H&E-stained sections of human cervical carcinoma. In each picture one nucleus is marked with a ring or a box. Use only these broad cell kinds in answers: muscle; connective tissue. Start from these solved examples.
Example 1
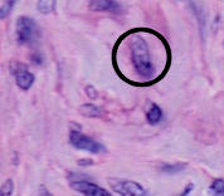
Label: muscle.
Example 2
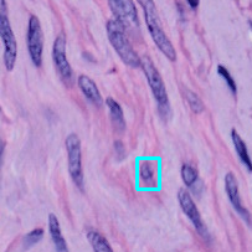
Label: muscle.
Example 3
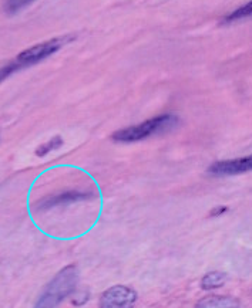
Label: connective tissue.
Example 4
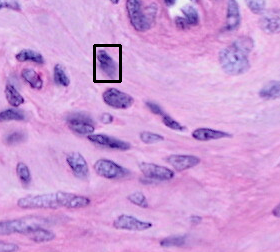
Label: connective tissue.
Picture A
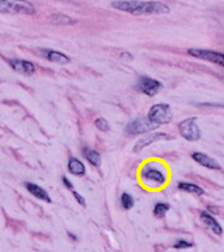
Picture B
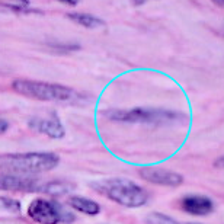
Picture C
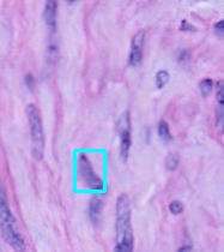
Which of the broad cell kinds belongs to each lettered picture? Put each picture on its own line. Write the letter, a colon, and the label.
A: muscle.
B: connective tissue.
C: muscle.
